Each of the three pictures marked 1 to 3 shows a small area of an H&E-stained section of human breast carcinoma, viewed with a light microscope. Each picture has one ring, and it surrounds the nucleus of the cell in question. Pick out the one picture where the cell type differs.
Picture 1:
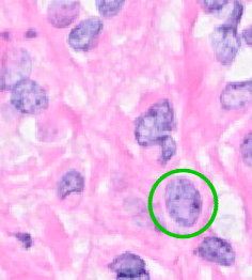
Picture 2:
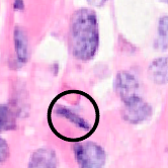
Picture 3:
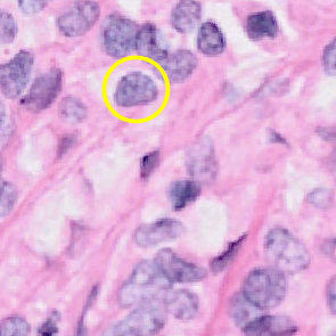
2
